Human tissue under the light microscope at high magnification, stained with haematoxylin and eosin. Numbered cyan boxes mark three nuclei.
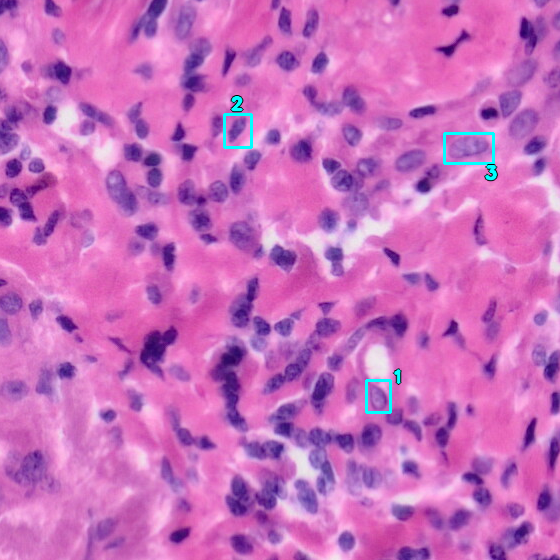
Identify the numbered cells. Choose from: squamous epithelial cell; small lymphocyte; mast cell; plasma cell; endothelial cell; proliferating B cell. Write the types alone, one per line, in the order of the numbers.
endothelial cell
mast cell
endothelial cell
